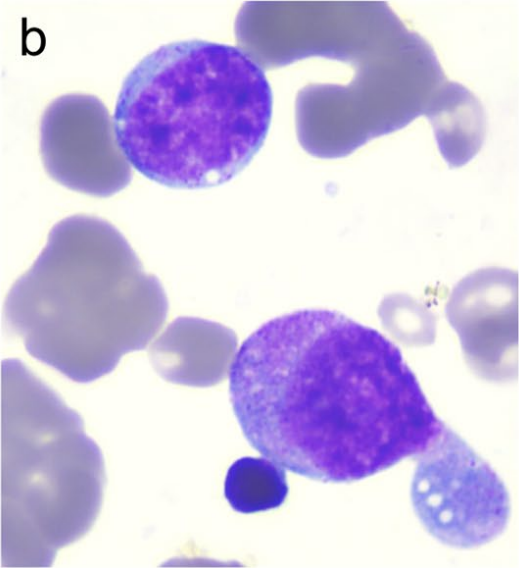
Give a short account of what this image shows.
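Bone marrow smear with myeloid and erythroid precursor cells among pale lilac red cells, several of them irregular or crenated. A small clear vacuole lies in its cytoplasm. Lower centre: a larger cell with an eccentric, finely granular purple nucleus and paler, faintly granular cytoplasm. Beside it at lower right, a smaller cell with pale greyish cytoplasm holds several round, sharply bounded clear vacuoles. A small cell with a dense dark nucleus and scant cytoplasm sits at the lower left of the larger cell.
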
